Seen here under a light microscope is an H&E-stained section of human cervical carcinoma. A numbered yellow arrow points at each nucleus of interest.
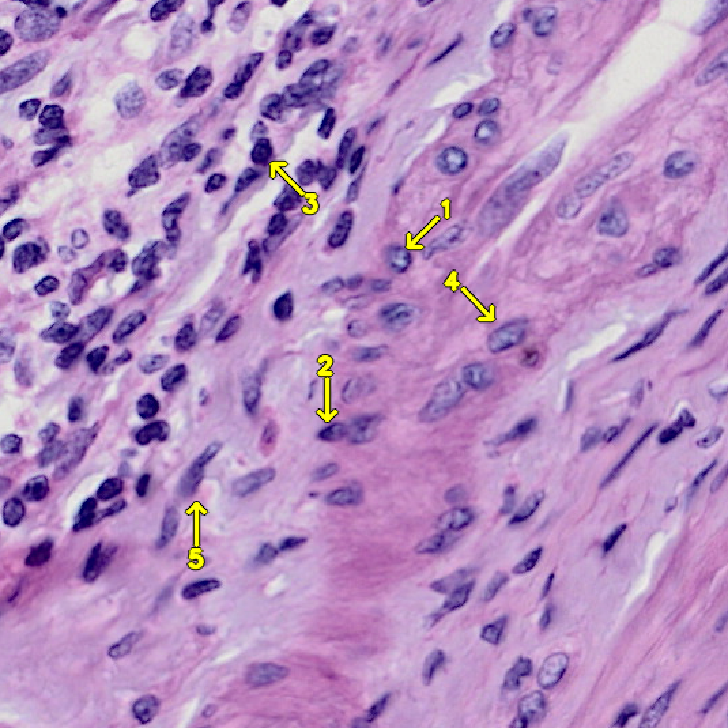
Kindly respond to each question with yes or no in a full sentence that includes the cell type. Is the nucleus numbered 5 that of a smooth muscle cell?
No, the one with number 5 is a fibroblast, not a smooth muscle cell.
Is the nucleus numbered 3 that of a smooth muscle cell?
No, it is not a smooth muscle cell that bears number 3 but a lymphocyte.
